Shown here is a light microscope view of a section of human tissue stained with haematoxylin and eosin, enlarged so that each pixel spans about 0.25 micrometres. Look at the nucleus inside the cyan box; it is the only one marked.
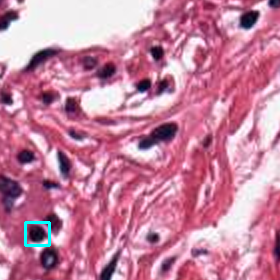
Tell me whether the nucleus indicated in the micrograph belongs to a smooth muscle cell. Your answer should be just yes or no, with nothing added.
no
